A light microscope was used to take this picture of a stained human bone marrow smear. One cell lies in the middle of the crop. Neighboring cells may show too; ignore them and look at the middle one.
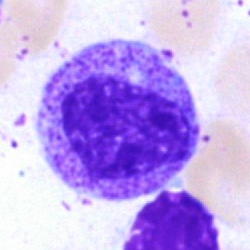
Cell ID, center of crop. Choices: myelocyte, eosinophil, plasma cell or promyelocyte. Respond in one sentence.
The cell of interest, located centrally, is a myelocyte.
